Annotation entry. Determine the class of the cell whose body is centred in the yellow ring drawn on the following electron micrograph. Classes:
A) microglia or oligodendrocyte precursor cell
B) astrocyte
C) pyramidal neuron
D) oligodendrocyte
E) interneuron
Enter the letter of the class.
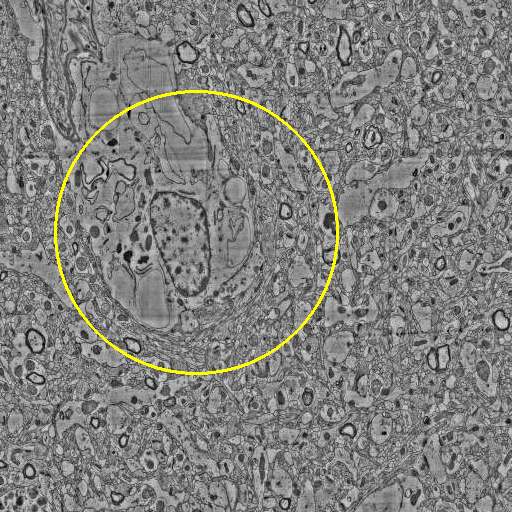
B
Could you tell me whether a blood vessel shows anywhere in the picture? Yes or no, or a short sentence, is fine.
Yes, the picture includes a blood vessel.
